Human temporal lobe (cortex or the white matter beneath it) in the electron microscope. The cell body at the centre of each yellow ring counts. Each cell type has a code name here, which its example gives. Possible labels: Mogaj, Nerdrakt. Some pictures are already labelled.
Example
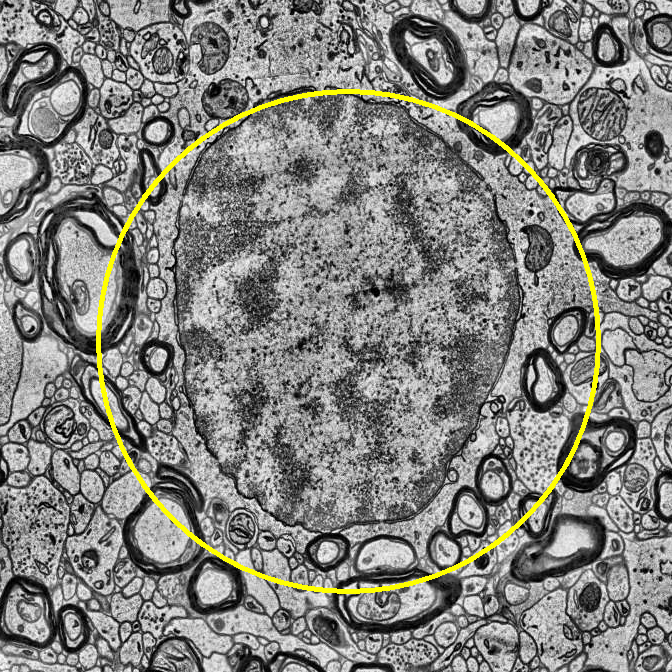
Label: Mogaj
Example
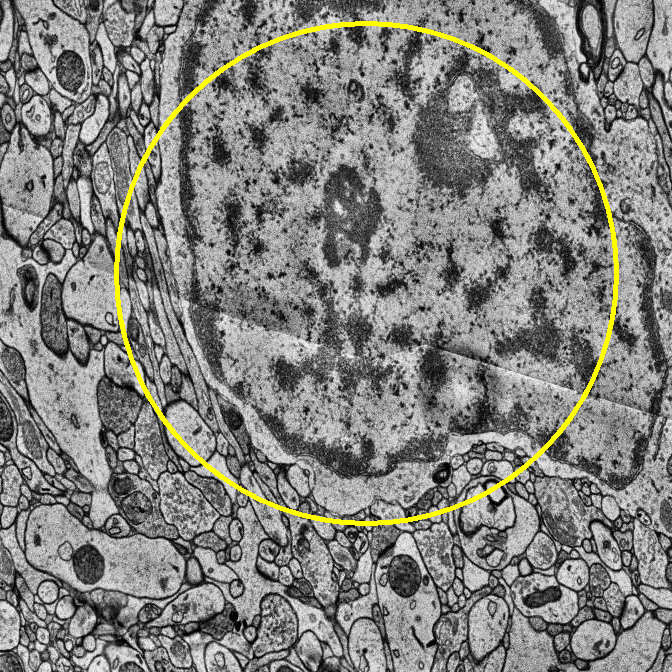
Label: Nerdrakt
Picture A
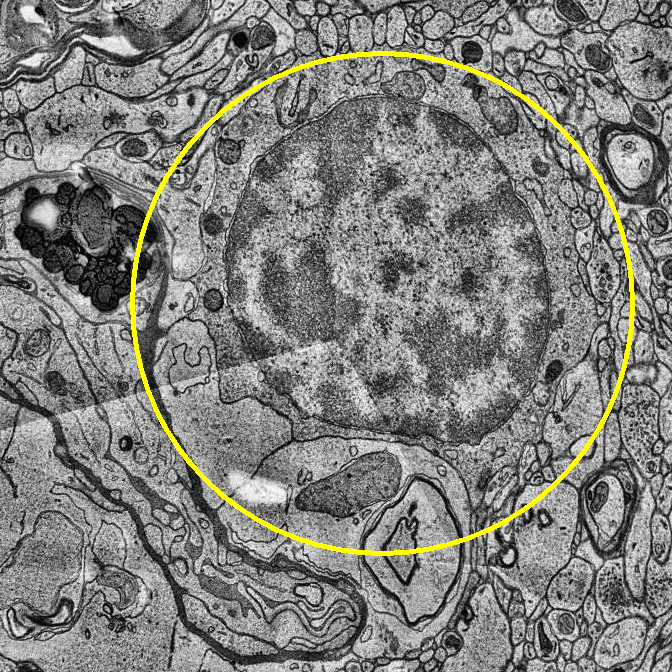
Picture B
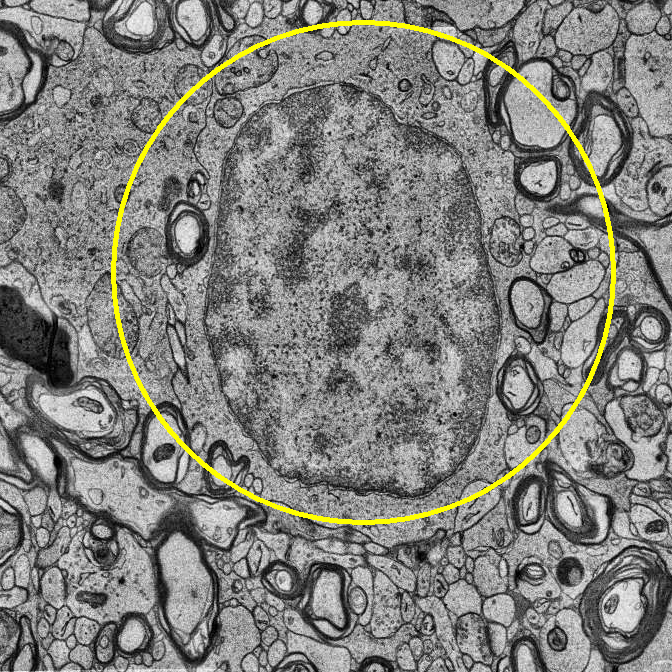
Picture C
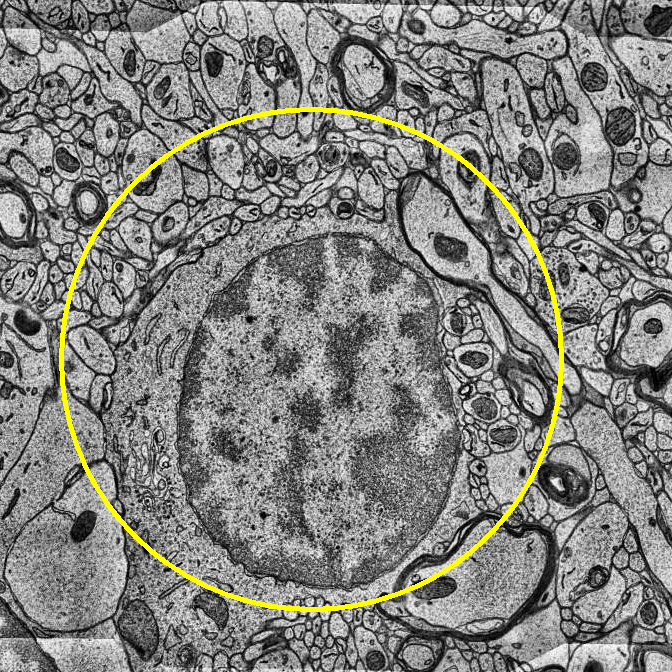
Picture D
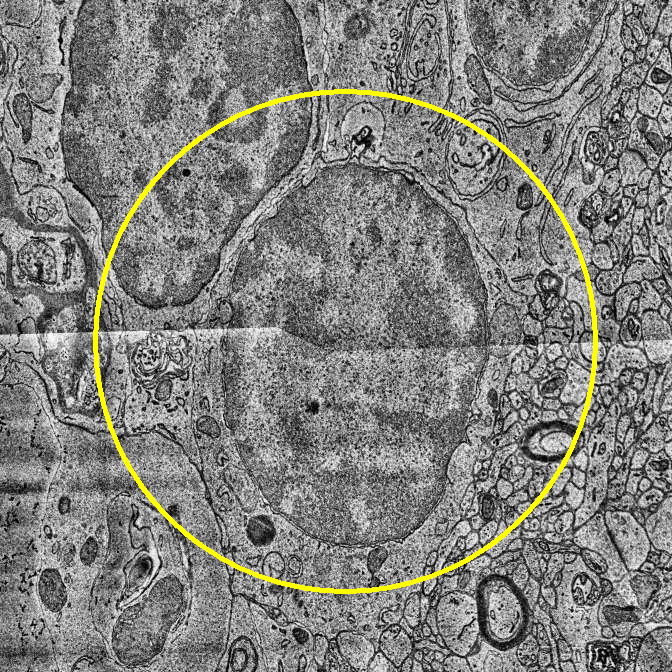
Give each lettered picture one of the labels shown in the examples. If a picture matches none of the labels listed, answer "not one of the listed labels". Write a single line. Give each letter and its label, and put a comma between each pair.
A Mogaj, B Mogaj, C Mogaj, D Mogaj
